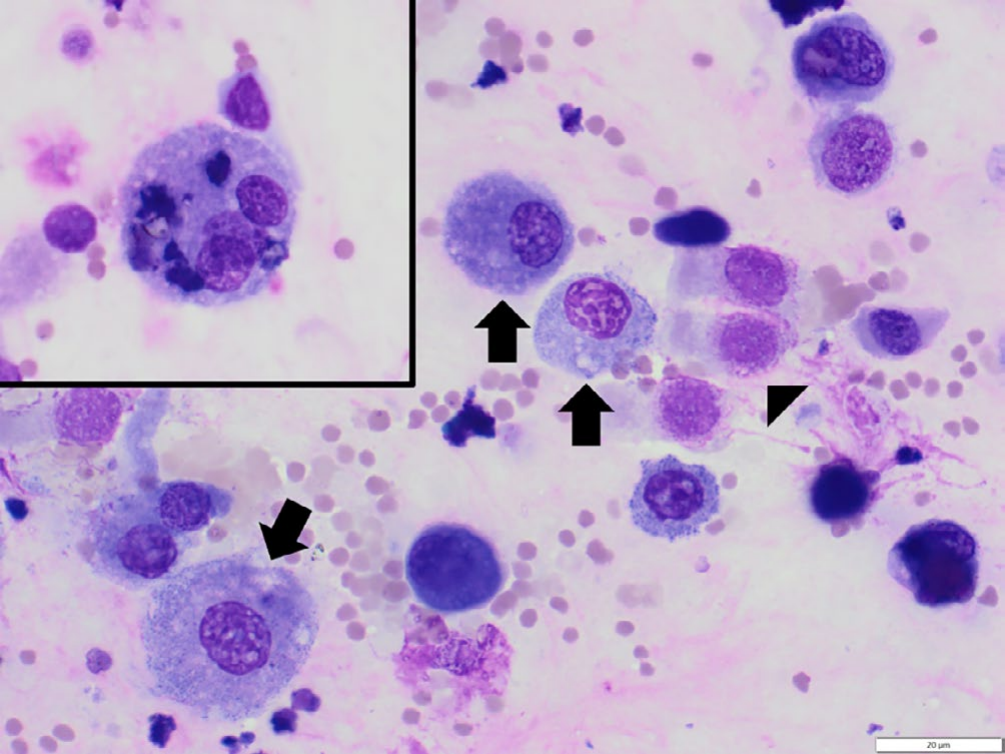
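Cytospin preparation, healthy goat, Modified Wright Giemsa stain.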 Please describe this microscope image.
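This airway wash is dominated by large macrophages, cells with plentiful pale blue-grey, finely foamy cytoplasm and a single round to oval nucleus with stippled purple chromatin. Smaller round cells with a dense nucleus and scant cytoplasm are scattered among them, along with many small pink red blood cells in the background. In the enlarged box a macrophage carries two nuclei and dark, irregular engulfed material in its cytoplasm.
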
